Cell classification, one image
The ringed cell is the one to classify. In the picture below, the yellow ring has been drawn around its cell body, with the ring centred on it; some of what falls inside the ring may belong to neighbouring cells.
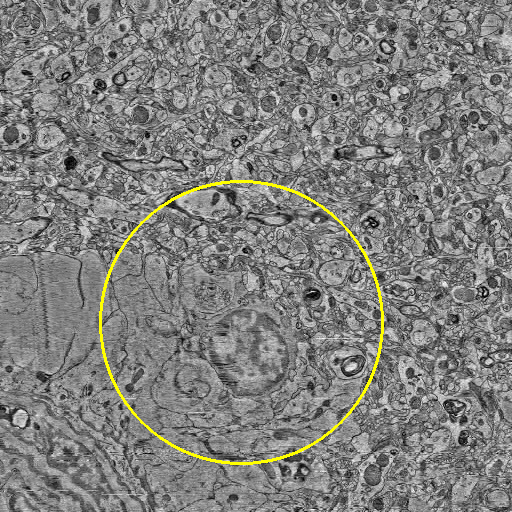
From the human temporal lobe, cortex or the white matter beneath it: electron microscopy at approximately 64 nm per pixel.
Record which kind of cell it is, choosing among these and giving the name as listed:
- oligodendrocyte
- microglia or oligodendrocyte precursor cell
oligodendrocyte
